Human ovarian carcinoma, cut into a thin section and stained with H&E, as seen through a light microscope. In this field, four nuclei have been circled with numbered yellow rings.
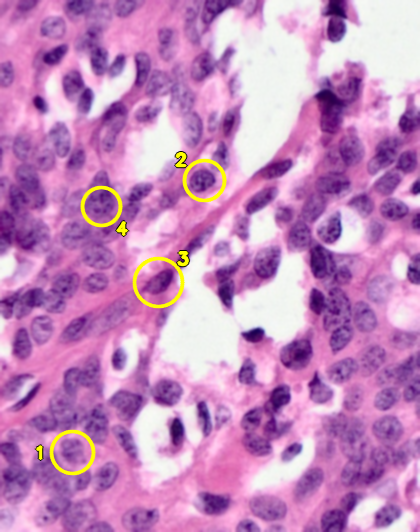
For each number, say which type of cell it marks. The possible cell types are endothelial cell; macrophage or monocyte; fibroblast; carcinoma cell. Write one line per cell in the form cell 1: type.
cell 1: macrophage or monocyte
cell 2: macrophage or monocyte
cell 3: endothelial cell
cell 4: carcinoma cell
